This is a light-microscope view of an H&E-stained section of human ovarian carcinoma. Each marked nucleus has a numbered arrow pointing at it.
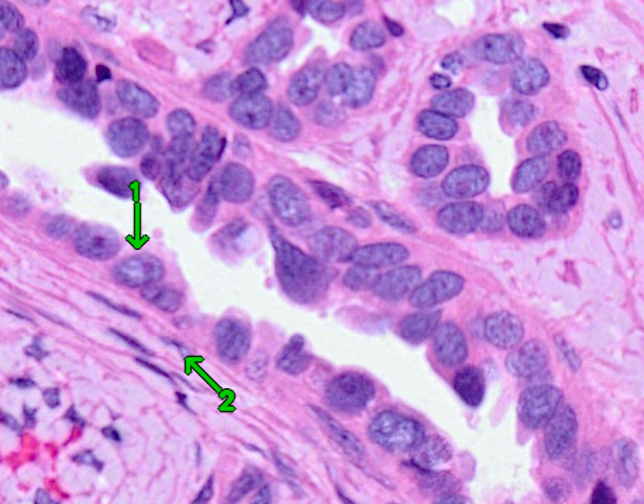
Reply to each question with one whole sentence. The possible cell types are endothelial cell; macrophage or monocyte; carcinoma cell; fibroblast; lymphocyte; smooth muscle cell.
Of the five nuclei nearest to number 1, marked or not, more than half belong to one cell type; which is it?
Of the five nuclei nearest to number 1, most belong to carcinoma cells.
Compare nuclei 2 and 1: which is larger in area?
Nucleus 1 covers more area, about 4 times as much as nucleus 2.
